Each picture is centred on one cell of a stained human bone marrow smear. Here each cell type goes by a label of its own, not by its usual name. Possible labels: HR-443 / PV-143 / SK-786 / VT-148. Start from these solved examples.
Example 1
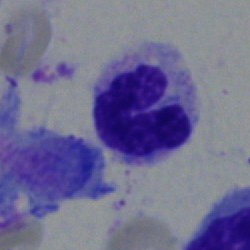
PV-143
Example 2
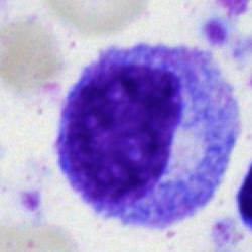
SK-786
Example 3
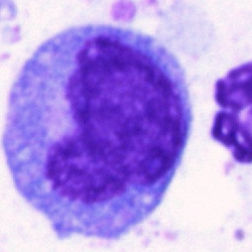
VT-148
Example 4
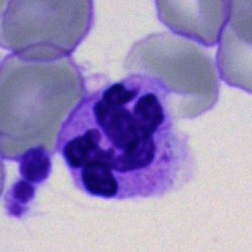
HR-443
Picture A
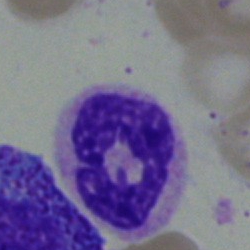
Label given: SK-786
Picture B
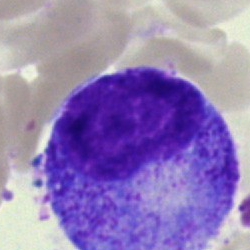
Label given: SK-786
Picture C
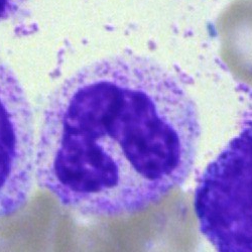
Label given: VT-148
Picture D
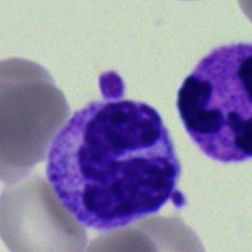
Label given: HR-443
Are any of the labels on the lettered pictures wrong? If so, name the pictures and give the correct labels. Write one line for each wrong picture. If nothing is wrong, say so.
A: change SK-786 to PV-143
C: change VT-148 to PV-143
